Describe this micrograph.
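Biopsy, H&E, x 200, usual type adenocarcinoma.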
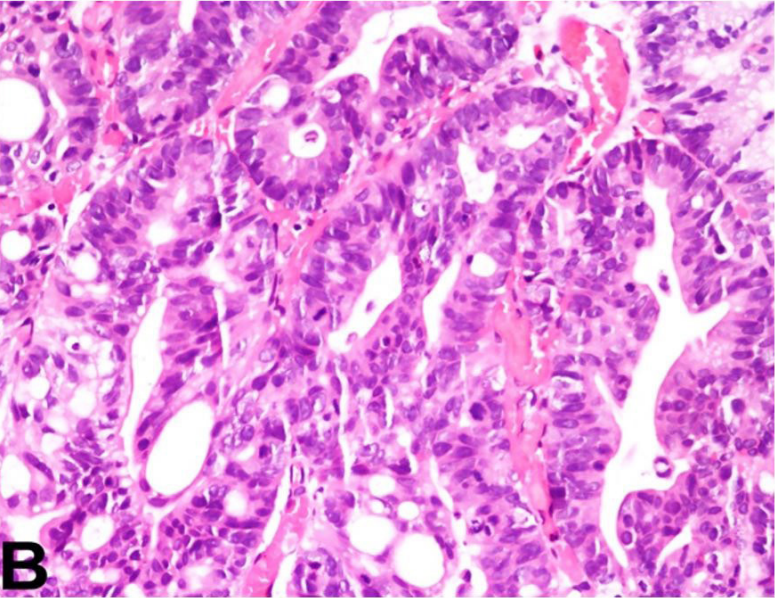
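Irregular, crowded glands are lined by tall columnar tumor cells with elongated, hyperchromatic, stratified nuclei. The gland lumens are angular and branching, and the glands lie back to back with only thin pink strands of stroma and small vessels containing red cells between them. Several small round clear spaces are scattered among the cells.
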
